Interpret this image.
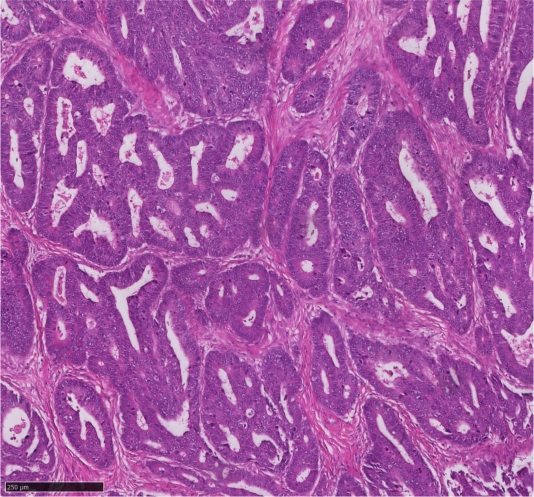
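This field shows tumour in which cancer epithelium fills almost everything and stroma is scant. The tumour cells form large, complex glandular islands with many branching and slit-like open spaces, each lined by tall cells with elongated, crowded, dark purple nuclei stacked against one another. Some lumens hold pale pink material or debris. Between the islands run only thin, bright pink bands of fibrous stroma with a few spindle-shaped nuclei, outlining the islands like a net. There are no broad stromal areas; the ratio of tumour to stroma is strongly in favour of the tumour epithelium.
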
